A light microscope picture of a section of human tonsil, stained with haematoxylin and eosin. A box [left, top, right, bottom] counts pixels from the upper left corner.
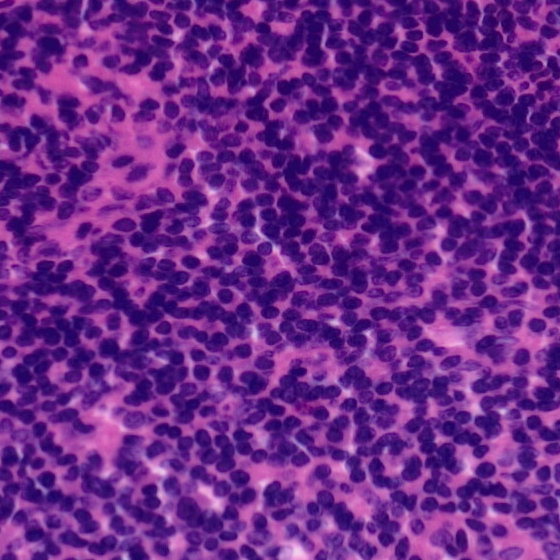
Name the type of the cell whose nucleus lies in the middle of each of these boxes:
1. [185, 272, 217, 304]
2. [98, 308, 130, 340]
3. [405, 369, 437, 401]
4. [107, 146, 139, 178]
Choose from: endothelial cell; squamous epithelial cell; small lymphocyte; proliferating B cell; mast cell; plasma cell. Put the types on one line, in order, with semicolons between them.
small lymphocyte; small lymphocyte; small lymphocyte; endothelial cell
